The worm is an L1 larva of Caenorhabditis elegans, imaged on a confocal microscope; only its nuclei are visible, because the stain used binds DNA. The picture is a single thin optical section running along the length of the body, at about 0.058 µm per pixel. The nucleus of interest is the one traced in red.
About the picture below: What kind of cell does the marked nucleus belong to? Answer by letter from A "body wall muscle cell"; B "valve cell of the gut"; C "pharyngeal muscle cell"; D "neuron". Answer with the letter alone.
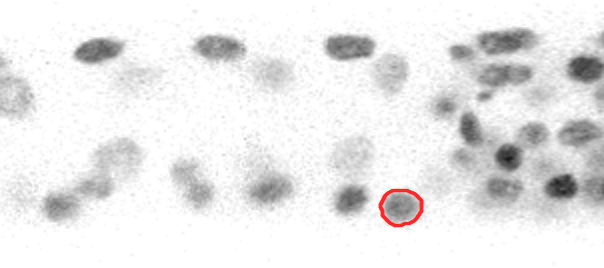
D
